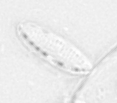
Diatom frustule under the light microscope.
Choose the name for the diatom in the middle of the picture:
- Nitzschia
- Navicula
Nitzschia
